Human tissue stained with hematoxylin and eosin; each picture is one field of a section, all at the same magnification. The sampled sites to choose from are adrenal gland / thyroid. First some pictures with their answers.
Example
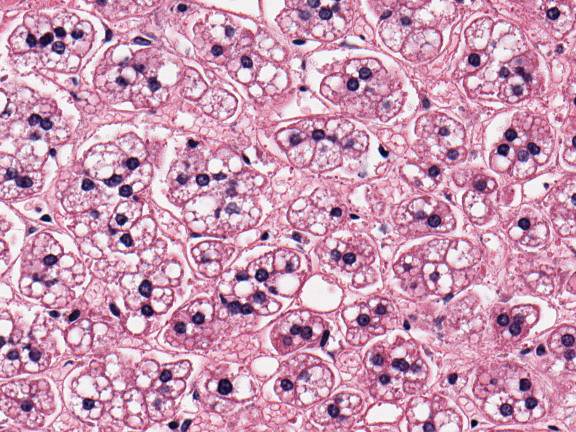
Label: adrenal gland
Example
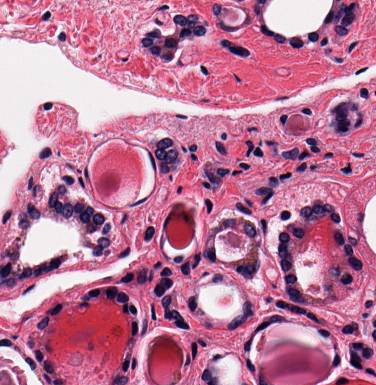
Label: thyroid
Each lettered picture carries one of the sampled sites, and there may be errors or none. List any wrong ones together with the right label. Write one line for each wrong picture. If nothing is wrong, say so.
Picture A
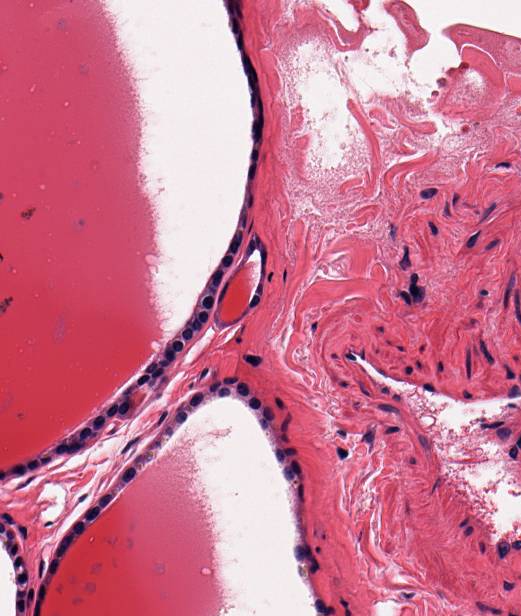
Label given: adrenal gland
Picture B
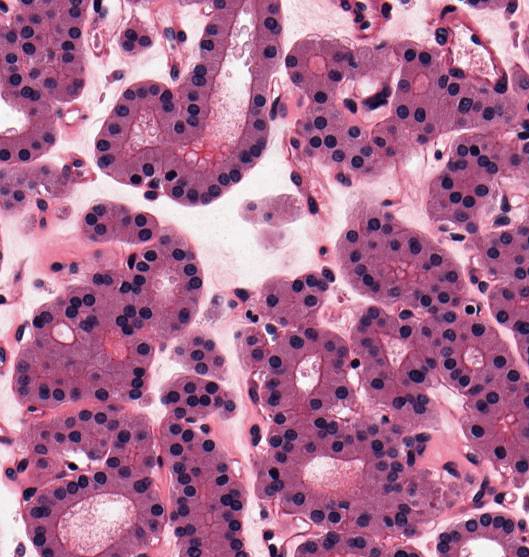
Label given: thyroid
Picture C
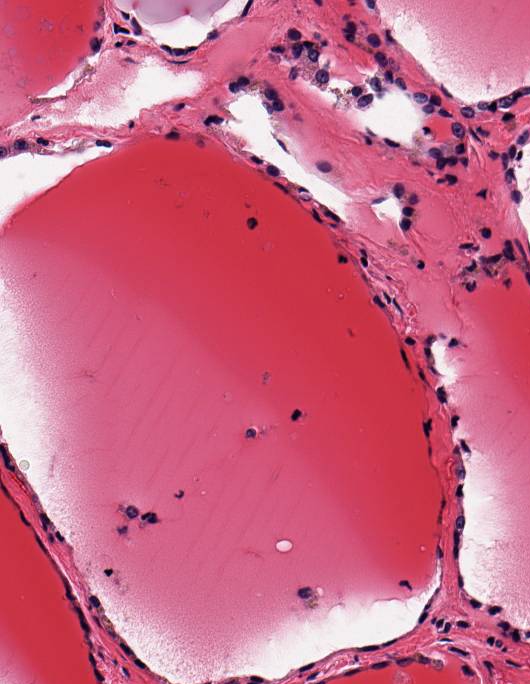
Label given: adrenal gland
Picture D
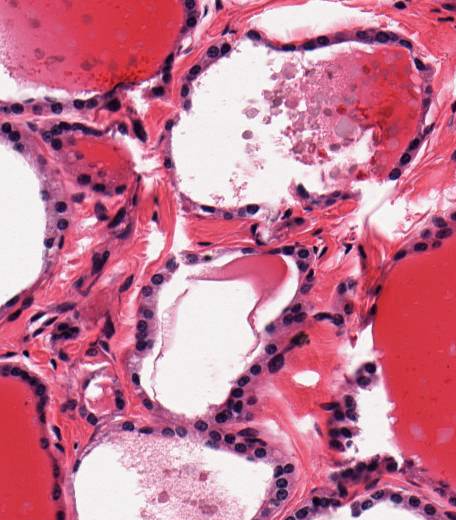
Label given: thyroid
A should be thyroid, not adrenal gland
C should be thyroid, not adrenal gland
